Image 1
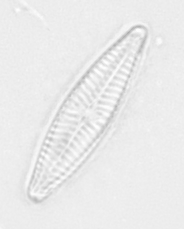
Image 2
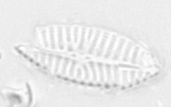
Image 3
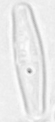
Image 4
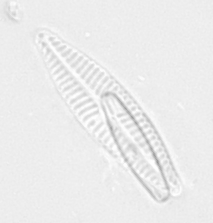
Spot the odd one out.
Picture 3 (Achnanthidium among Navicula).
